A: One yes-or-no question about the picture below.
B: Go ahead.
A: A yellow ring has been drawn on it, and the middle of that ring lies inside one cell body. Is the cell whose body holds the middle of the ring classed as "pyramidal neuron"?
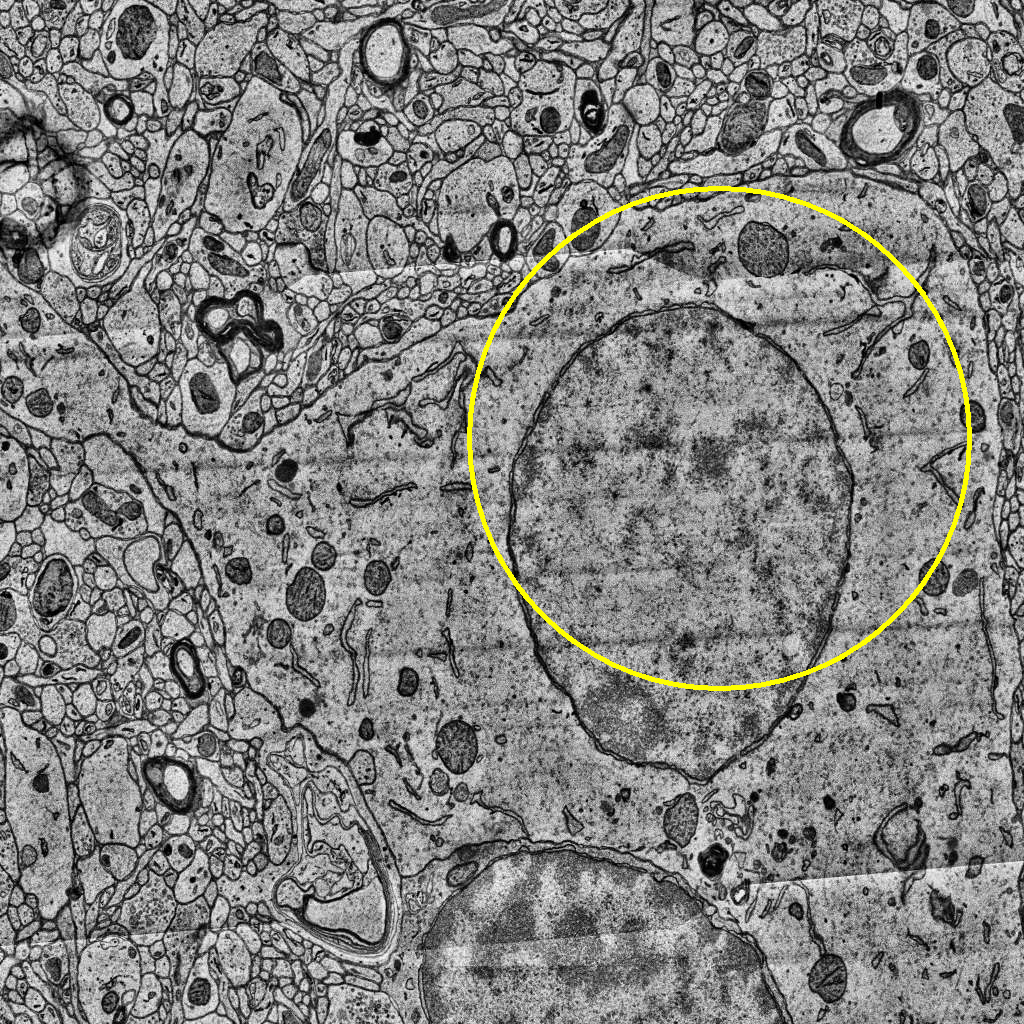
Yes, it is classed that way.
